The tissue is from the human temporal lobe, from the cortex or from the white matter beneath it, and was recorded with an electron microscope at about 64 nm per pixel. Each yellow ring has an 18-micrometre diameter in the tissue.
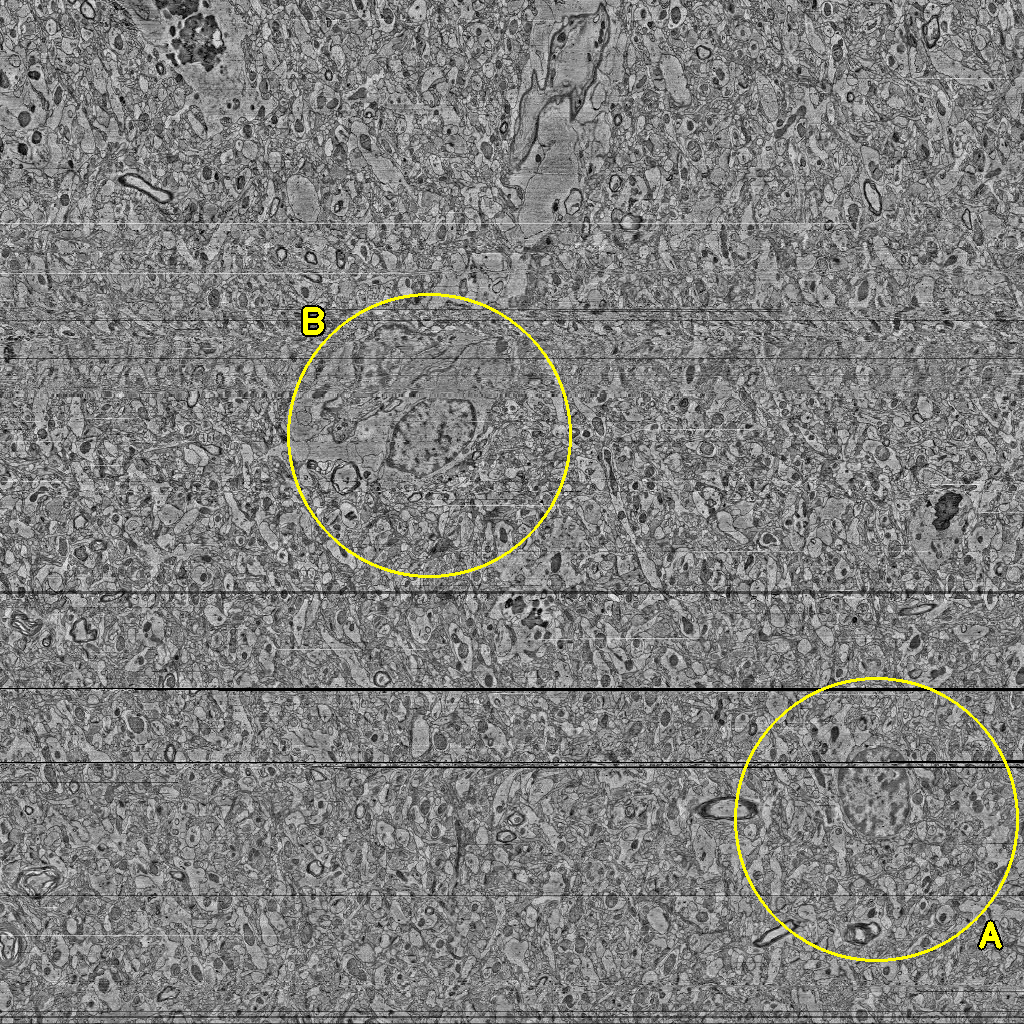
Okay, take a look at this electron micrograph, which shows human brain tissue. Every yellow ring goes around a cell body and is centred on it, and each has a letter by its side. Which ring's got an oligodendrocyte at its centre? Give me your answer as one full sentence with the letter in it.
The one you're after is ring A, centred on the cell you asked about.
